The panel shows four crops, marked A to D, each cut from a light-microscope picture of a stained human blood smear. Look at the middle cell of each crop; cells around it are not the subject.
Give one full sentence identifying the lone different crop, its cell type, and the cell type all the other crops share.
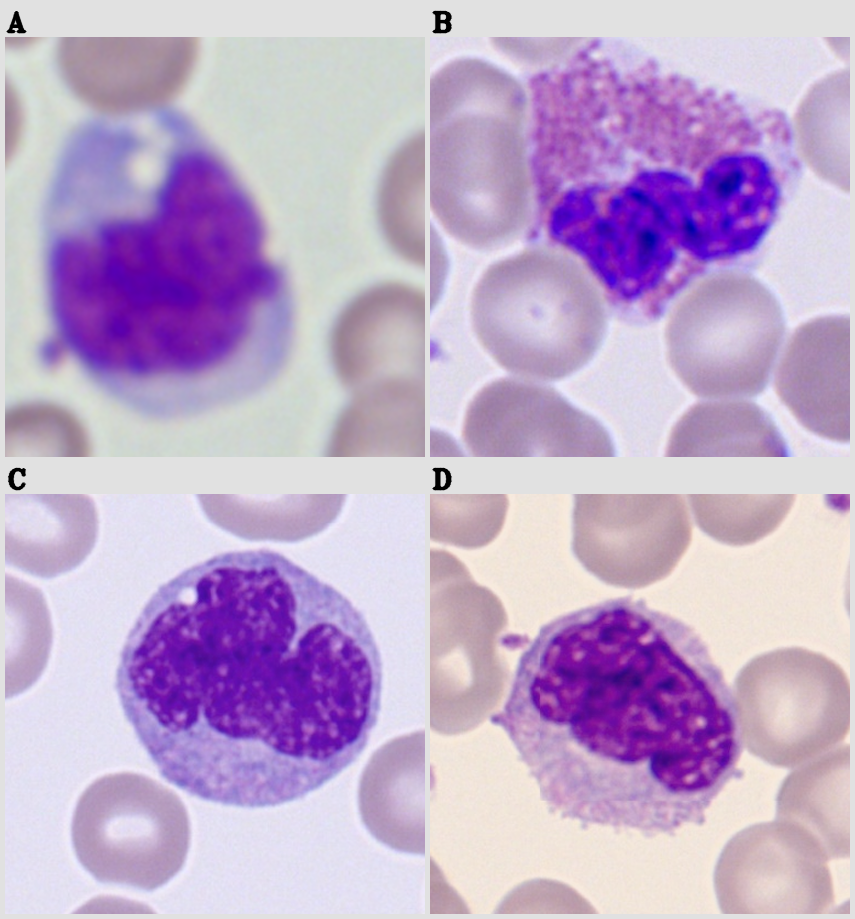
Among the crops, crop B is unique in showing an eosinophil; the others show monocytes.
